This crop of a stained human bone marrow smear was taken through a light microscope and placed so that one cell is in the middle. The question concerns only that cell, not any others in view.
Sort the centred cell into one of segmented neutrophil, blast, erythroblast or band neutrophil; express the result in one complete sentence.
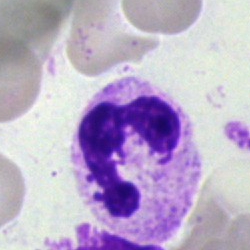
At the middle of the frame sits a segmented neutrophil.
